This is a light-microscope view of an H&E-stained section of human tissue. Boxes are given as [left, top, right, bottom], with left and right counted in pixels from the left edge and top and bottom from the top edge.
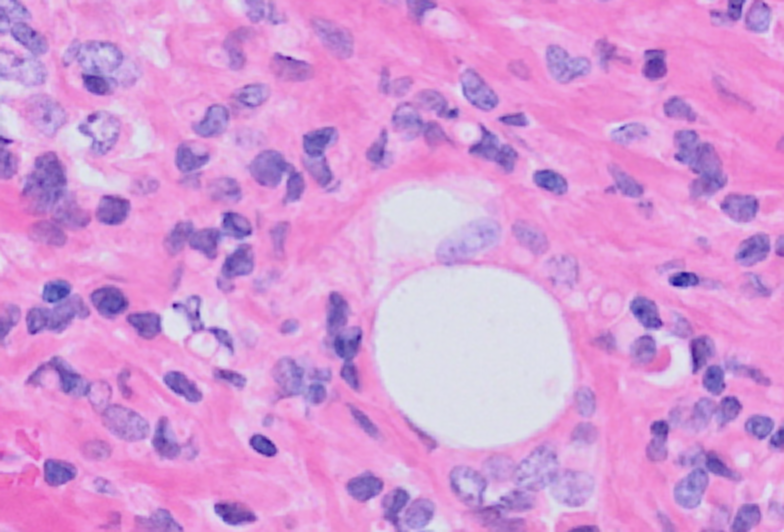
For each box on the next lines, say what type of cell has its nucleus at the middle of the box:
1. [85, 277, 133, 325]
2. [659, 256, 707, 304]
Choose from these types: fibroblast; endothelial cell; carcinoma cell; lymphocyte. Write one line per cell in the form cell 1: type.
cell 1: carcinoma cell
cell 2: lymphocyte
